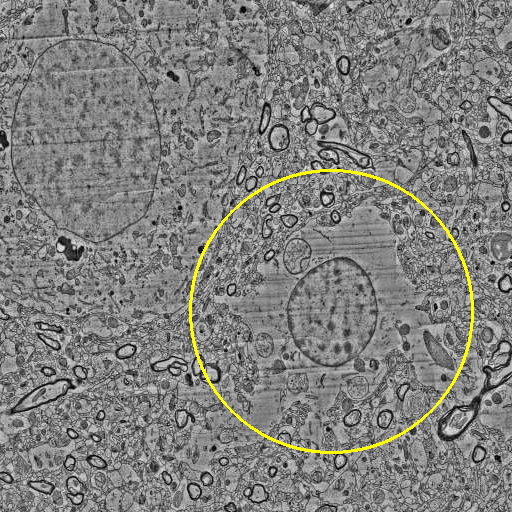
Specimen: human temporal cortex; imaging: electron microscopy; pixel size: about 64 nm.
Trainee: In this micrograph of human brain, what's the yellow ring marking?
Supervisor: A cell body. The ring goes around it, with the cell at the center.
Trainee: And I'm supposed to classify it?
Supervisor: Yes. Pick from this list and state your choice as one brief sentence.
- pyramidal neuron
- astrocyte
The cell at the ring's center is an astrocyte.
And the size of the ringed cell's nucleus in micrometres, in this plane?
In this plane, approximately 7 by 6 micrometers.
